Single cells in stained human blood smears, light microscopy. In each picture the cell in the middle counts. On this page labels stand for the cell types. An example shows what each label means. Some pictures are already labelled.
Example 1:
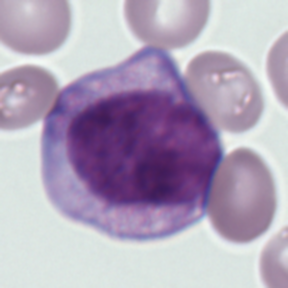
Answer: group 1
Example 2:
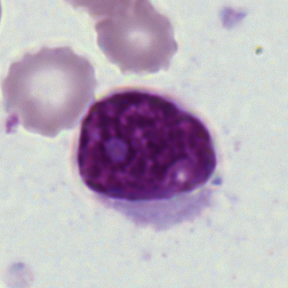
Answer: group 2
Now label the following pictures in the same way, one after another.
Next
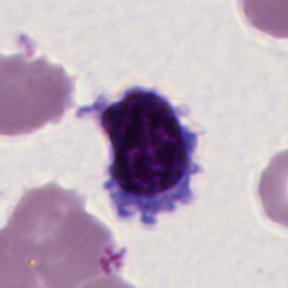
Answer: group 2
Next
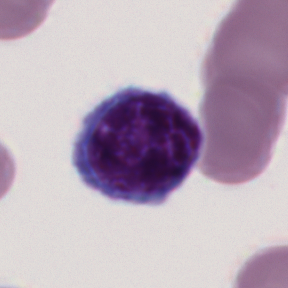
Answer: group 2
